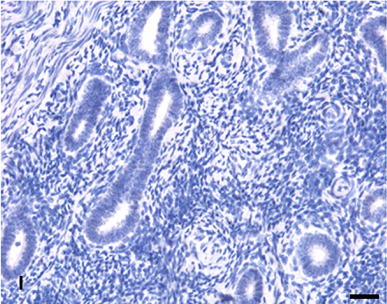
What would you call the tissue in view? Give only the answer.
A: Uterine endometrium.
